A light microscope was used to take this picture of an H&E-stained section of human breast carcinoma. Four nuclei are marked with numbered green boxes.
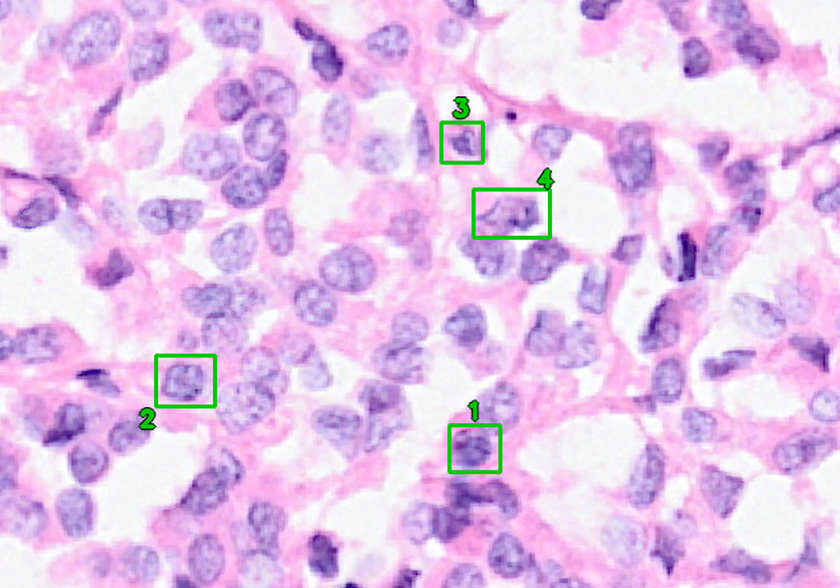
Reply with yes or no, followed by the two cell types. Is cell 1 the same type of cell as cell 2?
Yes, both are carcinoma cells.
